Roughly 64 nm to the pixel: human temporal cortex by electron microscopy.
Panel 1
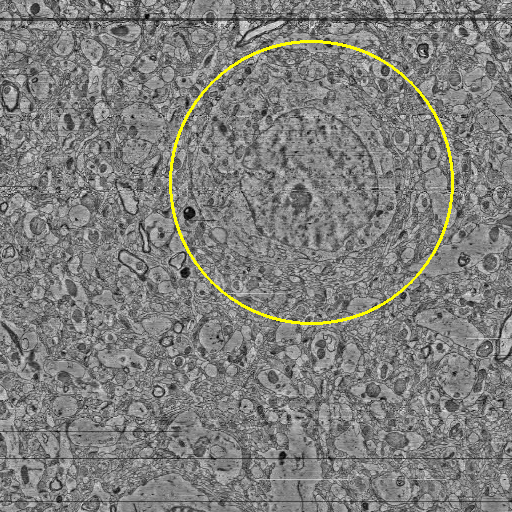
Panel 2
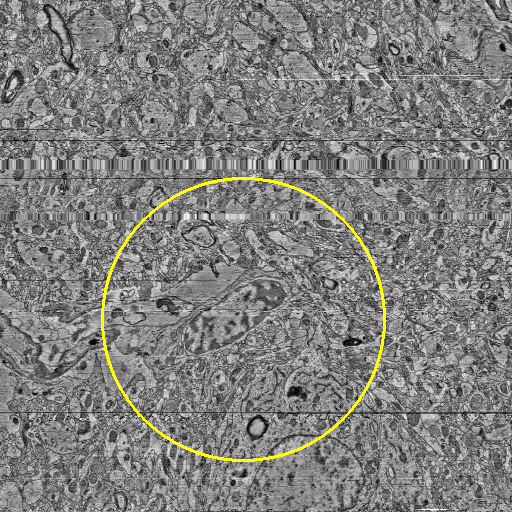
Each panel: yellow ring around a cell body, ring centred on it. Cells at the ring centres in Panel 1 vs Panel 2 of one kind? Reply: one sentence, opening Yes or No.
No, Panel 1 and Panel 2 have cells of two kinds at the ring centres.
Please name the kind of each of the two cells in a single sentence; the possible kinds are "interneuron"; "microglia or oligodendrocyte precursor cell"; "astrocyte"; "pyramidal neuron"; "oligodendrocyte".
In the first picture the ring is centred on an interneuron, and in the second on a microglial cell or oligodendrocyte precursor cell.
